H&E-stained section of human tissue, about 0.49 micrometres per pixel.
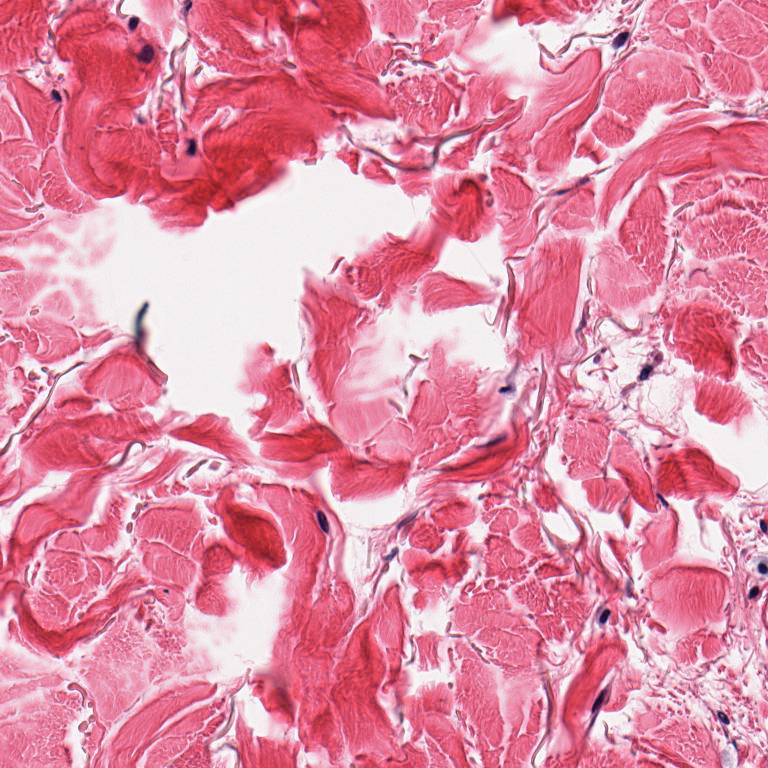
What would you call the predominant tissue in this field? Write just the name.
dermis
